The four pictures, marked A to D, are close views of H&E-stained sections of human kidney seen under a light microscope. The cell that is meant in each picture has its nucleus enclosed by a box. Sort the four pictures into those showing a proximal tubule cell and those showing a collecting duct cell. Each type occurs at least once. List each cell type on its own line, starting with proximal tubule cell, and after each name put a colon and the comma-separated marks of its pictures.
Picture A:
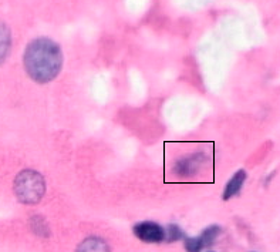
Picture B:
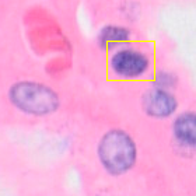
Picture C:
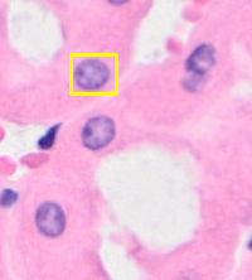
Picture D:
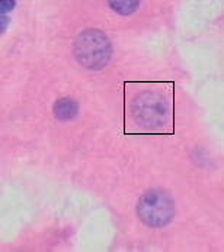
proximal tubule cell: A, C, D
collecting duct cell: B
